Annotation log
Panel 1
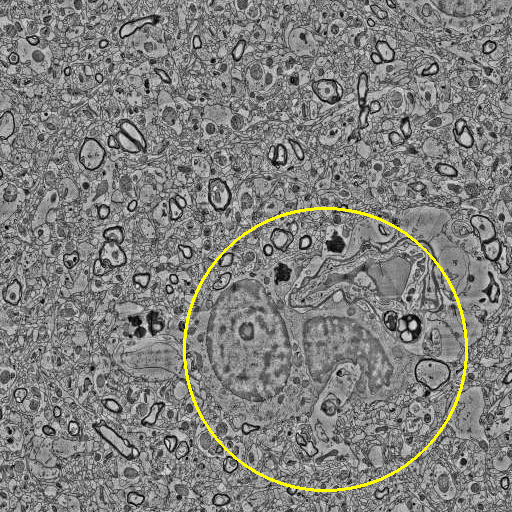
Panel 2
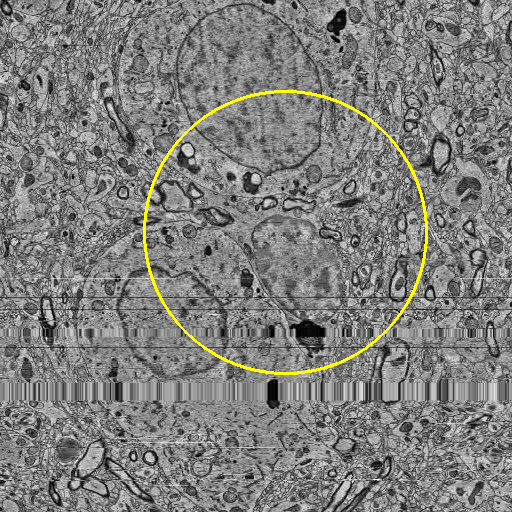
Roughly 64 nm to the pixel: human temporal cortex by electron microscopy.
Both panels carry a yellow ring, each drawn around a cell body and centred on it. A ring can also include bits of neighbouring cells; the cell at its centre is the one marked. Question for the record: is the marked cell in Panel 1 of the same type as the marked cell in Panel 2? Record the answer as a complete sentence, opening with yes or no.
Yes, the marked cells in Panel 1 and Panel 2 are of the same type.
